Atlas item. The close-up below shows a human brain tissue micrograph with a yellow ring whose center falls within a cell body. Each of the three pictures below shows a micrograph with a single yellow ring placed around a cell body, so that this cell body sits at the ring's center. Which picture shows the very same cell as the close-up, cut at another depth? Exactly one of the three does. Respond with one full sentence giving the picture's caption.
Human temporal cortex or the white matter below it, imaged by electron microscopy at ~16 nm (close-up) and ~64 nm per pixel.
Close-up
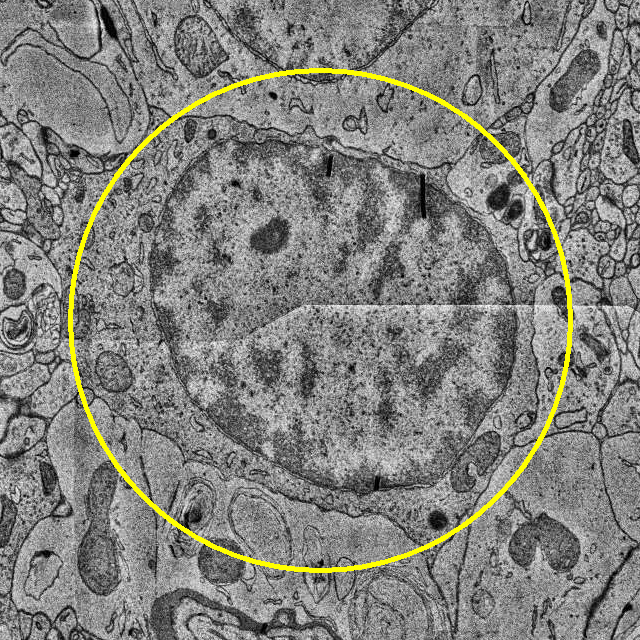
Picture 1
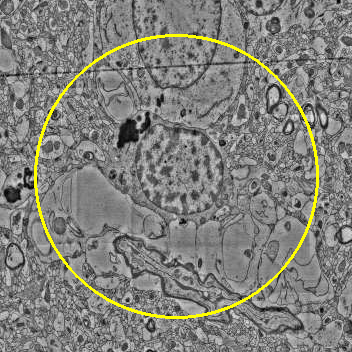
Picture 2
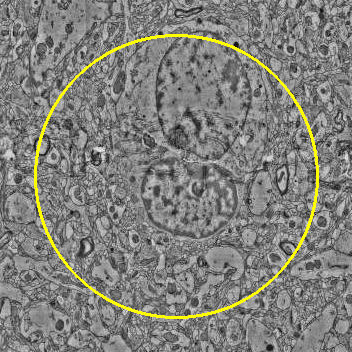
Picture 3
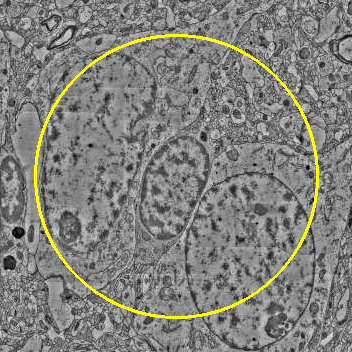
The encircled cell in Picture 1 is the cell in the close-up.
